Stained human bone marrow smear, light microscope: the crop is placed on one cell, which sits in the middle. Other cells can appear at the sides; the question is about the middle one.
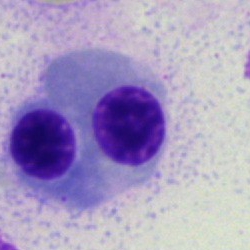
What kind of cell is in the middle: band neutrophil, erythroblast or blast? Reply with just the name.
erythroblast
